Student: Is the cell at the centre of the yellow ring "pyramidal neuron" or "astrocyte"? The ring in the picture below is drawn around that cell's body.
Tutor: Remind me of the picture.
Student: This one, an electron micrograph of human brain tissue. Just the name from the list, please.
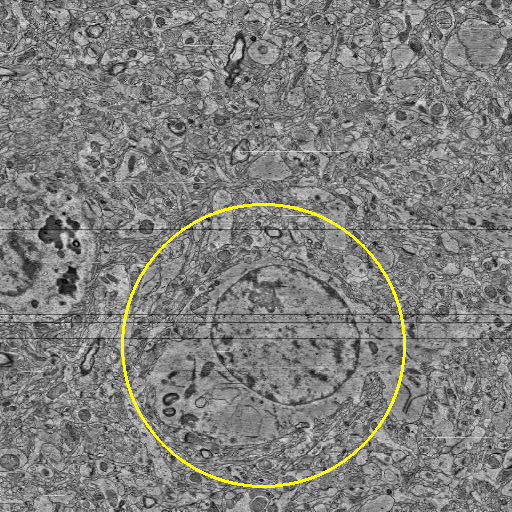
astrocyte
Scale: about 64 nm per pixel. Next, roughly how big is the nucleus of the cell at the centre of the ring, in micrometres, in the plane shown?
In this plane the nucleus is about 9 micrometres across.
